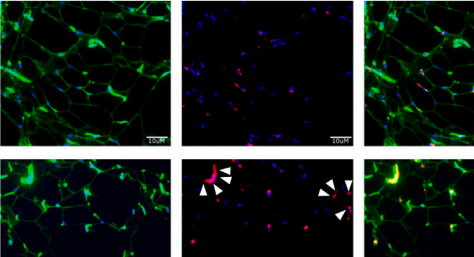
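This is white adipose tissue seen as a mesh of large, empty, polygonal adipocyte profiles whose thin rims are outlined in green. The cytoplasm of each adipocyte is reduced to this narrow rim around a single large lipid space, which appears dark. Small blue nuclei lie scattered at the edges and junctions of the profiles. Where the channels are merged, the red cells sit on the green rims, with some overlap appearing yellow.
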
